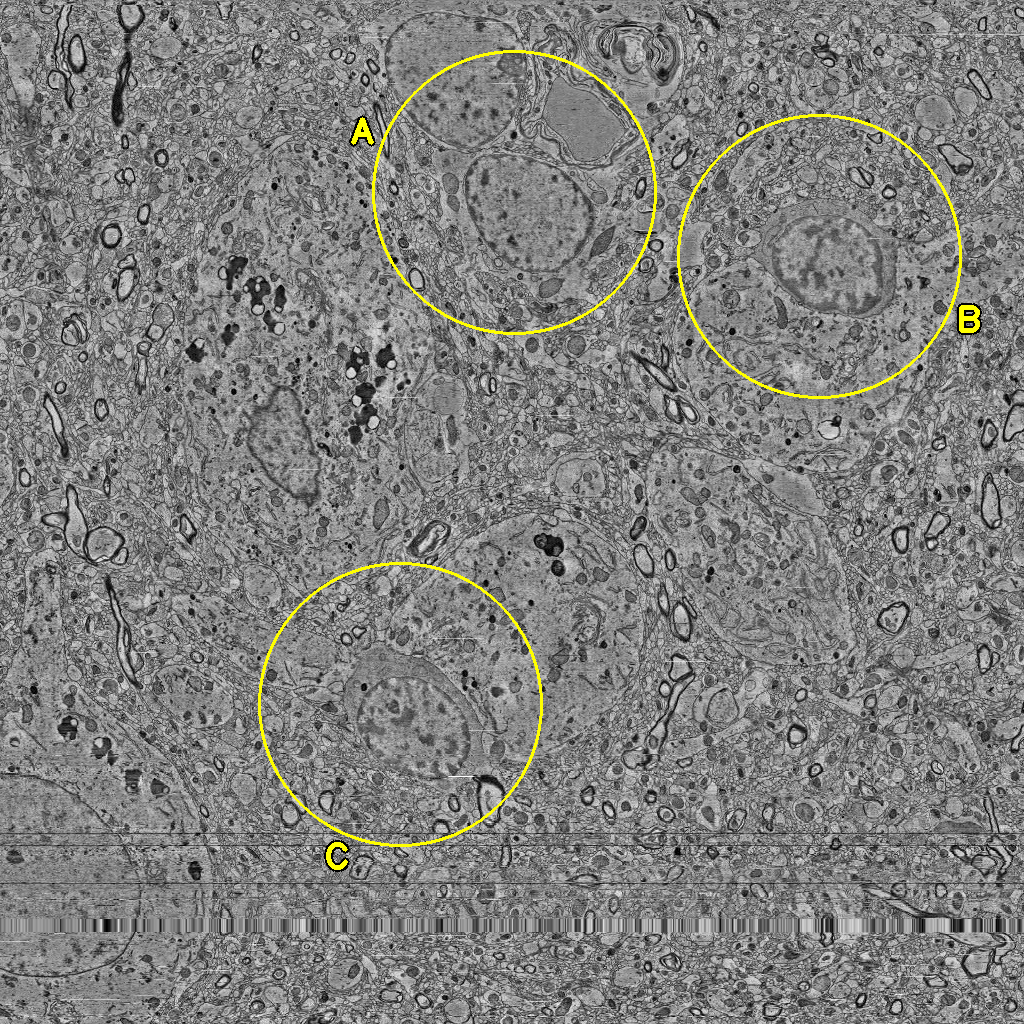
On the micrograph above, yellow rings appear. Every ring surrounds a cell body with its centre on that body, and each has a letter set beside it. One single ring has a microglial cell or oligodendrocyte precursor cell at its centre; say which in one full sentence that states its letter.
The answer is ring A, whose centre lies on the cell asked for.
